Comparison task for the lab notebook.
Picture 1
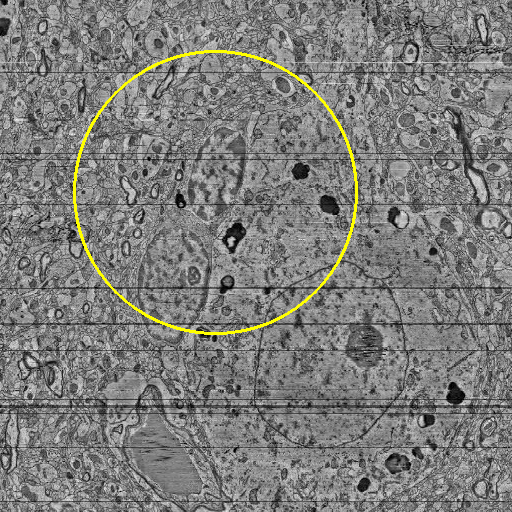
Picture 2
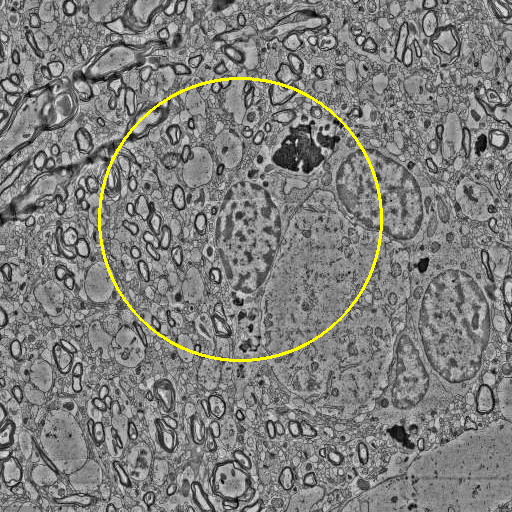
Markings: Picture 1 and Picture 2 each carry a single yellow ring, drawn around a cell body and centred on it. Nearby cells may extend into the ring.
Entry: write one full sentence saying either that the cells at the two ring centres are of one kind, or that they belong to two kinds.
The cells sitting at the ring centres in Picture 1 and Picture 2 are of one kind.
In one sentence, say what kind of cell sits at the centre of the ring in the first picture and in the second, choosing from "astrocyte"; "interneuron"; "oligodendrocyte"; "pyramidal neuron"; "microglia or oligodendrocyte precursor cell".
Each cell at the centre of a ring is a microglial cell or oligodendrocyte precursor cell.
